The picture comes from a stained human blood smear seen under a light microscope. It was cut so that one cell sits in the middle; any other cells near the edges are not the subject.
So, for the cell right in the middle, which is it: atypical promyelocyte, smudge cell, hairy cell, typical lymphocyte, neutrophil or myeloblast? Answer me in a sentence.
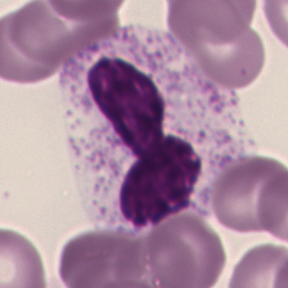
This crop has a neutrophil at its centre.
